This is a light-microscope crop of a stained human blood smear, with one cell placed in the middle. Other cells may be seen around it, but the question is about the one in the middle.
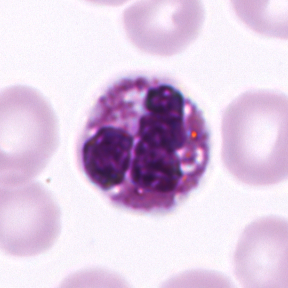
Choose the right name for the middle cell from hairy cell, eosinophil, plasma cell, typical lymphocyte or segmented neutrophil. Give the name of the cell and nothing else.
eosinophil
